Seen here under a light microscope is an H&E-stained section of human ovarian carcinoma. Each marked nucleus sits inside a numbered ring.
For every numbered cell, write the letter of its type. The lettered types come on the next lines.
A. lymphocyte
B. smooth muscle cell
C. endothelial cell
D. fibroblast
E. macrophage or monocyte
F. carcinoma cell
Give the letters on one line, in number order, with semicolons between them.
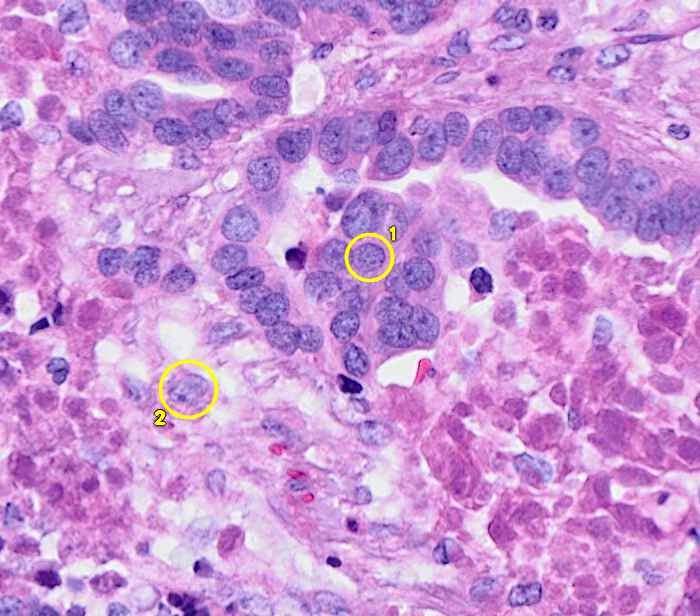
F; D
